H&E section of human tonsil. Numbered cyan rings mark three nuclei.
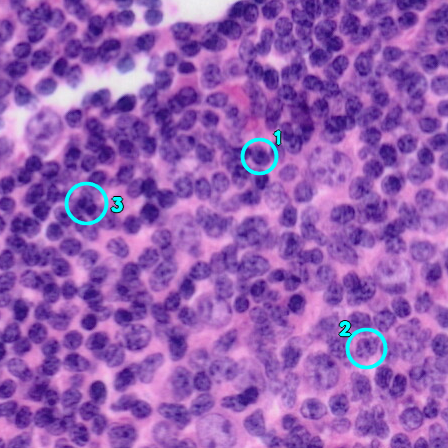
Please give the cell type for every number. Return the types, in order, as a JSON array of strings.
["small lymphocyte", "proliferating B cell", "small lymphocyte"]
